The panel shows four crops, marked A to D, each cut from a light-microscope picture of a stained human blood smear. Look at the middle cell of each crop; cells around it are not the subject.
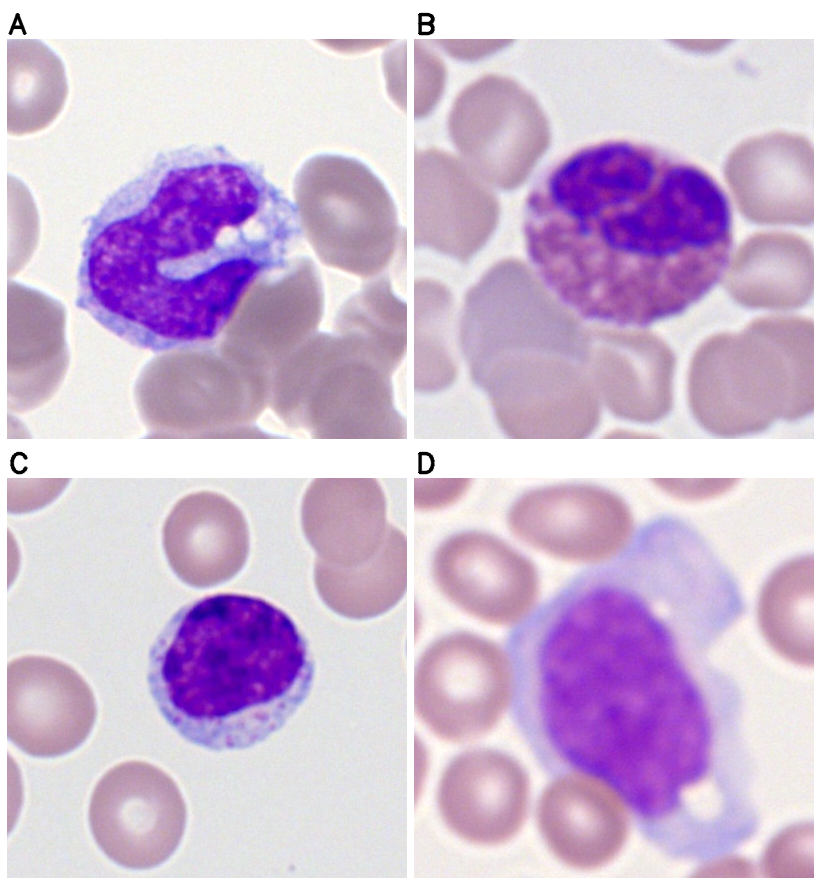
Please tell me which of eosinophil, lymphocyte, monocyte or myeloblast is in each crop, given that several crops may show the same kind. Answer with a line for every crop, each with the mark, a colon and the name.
A: monocyte
B: eosinophil
C: lymphocyte
D: monocyte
